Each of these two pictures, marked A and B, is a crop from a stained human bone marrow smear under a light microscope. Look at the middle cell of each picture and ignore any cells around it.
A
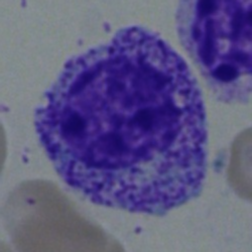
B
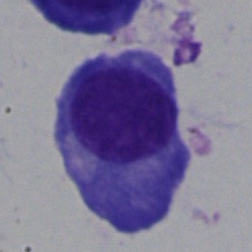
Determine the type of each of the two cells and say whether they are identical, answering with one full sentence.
No, the cell shown in crop A is a myelocyte, and the cell shown in crop B is a plasma cell.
